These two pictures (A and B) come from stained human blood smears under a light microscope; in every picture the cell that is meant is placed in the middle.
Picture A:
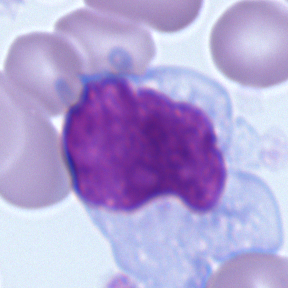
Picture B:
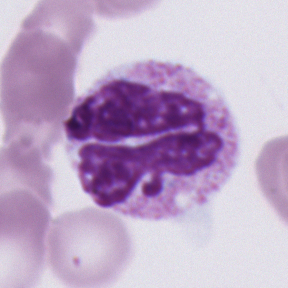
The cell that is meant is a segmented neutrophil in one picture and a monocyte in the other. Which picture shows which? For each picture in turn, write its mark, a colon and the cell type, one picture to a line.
A: monocyte
B: segmented neutrophil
